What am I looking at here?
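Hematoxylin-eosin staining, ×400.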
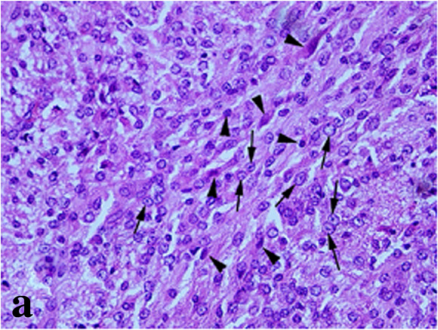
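A densely cellular lesion is made of cells lying in a pink fibrillary background with a loose streaming arrangement. Many cells have moderately large, round to oval pale nuclei, some with a visible nucleolus, while interspersed elongated spindle cells have pink cytoplasm and small dark nuclei.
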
